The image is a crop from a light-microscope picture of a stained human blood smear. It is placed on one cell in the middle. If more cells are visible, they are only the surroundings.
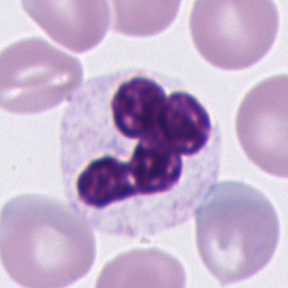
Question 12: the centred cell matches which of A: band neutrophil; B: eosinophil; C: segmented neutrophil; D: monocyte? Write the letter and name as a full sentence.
Option C gives the correct identity of the central cell, namely a segmented neutrophil.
